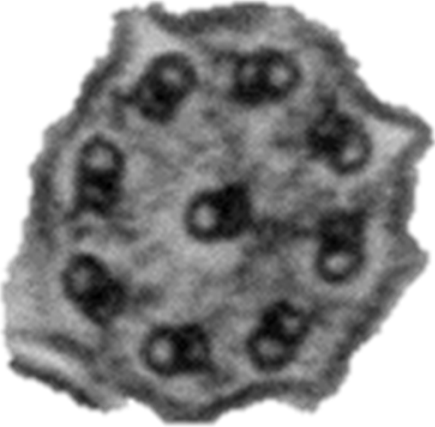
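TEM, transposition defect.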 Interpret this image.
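Cross-section of a cilium in which the central pair of single microtubules is absent. A doublet-like profile occupies the centre, while eight doublets remain in the peripheral ring within the ciliary membrane.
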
